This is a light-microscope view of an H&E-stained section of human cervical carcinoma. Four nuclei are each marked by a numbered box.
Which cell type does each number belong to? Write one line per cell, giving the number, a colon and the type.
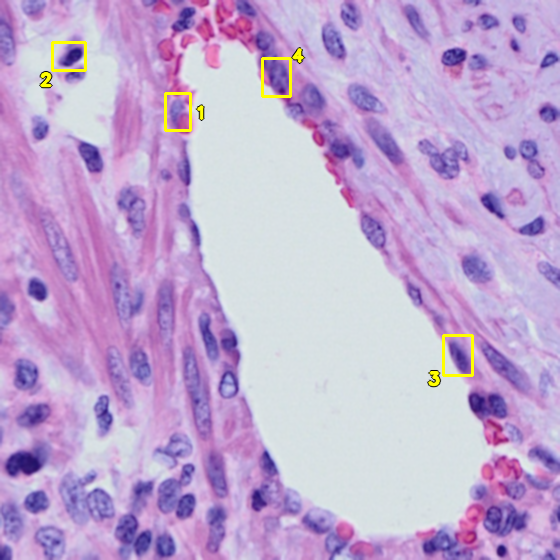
1: endothelial cell
2: lymphocyte
3: endothelial cell
4: endothelial cell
